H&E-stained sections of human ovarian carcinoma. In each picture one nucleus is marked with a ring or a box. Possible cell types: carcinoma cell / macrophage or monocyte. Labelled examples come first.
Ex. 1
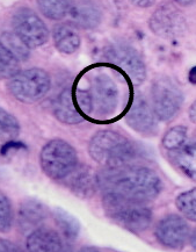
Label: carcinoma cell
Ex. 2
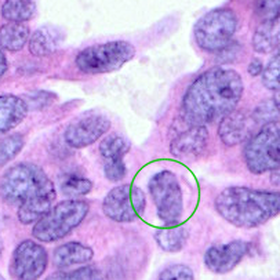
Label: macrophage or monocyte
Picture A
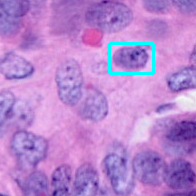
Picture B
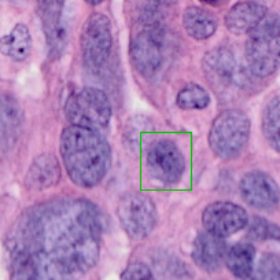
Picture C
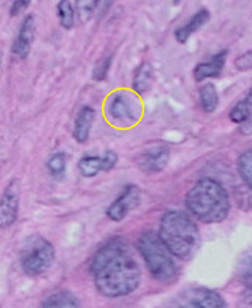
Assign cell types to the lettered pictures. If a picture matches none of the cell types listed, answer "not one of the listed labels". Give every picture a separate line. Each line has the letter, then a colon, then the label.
A: macrophage or monocyte
B: carcinoma cell
C: not one of the listed labels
